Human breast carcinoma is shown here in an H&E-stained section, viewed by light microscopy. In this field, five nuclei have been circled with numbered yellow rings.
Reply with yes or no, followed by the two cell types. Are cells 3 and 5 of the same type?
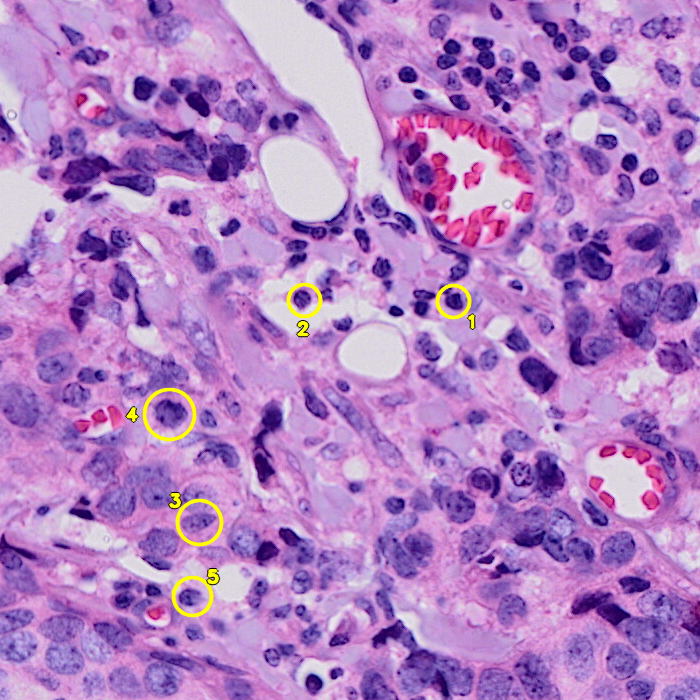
No, cell 3 is a carcinoma cell and cell 5 is a lymphocyte.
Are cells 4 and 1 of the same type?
No, cell 4 is a carcinoma cell and cell 1 is a lymphocyte.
